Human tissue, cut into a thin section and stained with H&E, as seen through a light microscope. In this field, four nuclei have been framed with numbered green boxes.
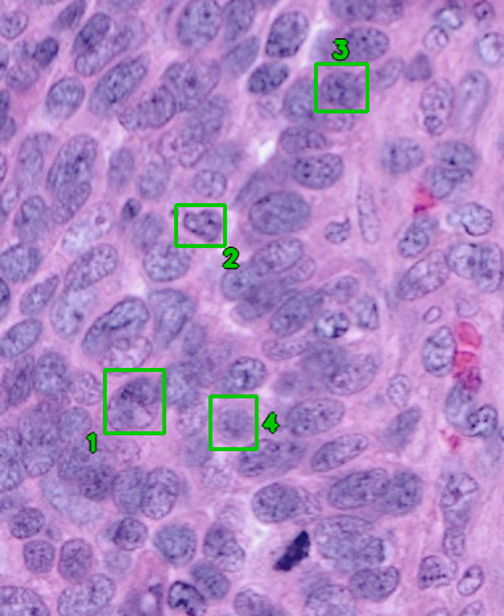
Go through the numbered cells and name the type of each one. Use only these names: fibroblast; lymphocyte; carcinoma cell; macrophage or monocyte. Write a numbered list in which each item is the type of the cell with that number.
1. carcinoma cell
2. macrophage or monocyte
3. carcinoma cell
4. carcinoma cell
